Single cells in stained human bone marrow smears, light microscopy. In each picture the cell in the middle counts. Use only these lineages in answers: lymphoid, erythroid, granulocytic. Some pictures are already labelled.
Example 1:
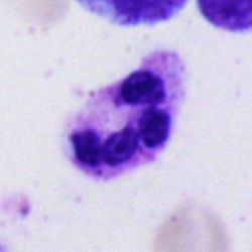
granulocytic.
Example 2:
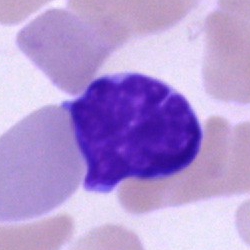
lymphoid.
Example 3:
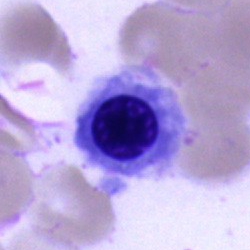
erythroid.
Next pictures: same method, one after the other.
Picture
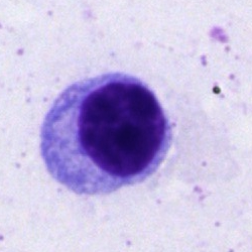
lymphoid.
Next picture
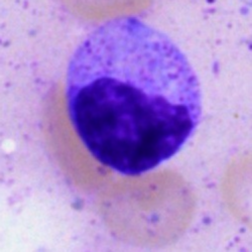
granulocytic.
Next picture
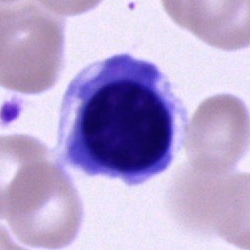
erythroid.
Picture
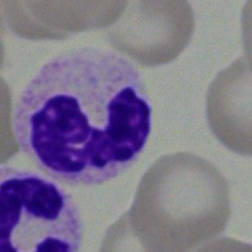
granulocytic.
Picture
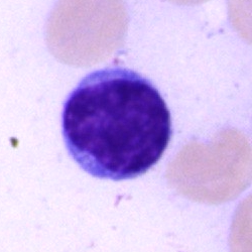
lymphoid.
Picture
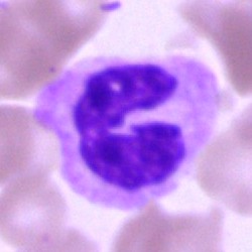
granulocytic.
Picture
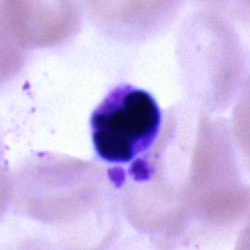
granulocytic.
